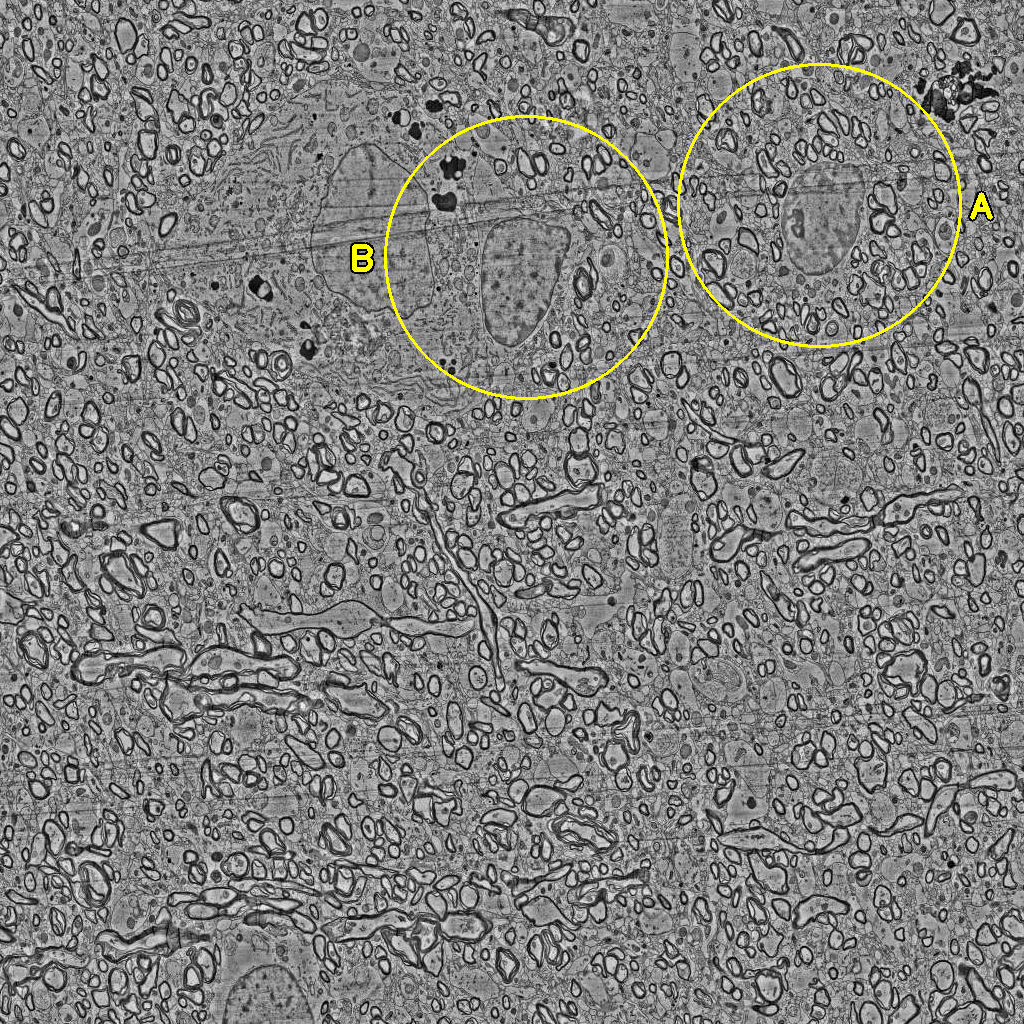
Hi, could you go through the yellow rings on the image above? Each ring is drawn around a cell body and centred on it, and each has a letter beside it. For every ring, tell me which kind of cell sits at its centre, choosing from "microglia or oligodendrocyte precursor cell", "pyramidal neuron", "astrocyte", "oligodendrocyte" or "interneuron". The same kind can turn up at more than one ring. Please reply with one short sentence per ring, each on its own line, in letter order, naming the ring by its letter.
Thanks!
Ring A is centred on an oligodendrocyte.
Ring B is centred on a microglial cell or oligodendrocyte precursor cell.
